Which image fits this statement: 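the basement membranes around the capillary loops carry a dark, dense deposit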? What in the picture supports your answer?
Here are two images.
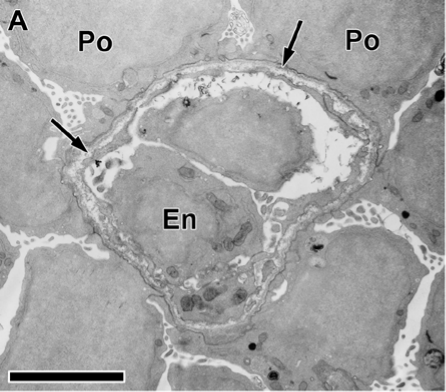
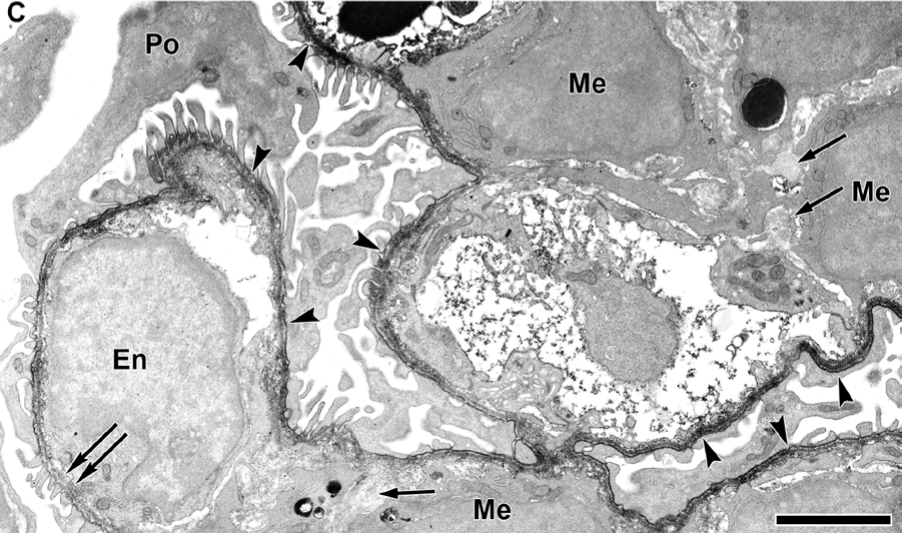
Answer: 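Second image: the basement membranes along the capillary loops form a dark, electron-dense band. First image: the basement membrane around the capillary loop is pale grey and thin, with no dark deposit.
The second image.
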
